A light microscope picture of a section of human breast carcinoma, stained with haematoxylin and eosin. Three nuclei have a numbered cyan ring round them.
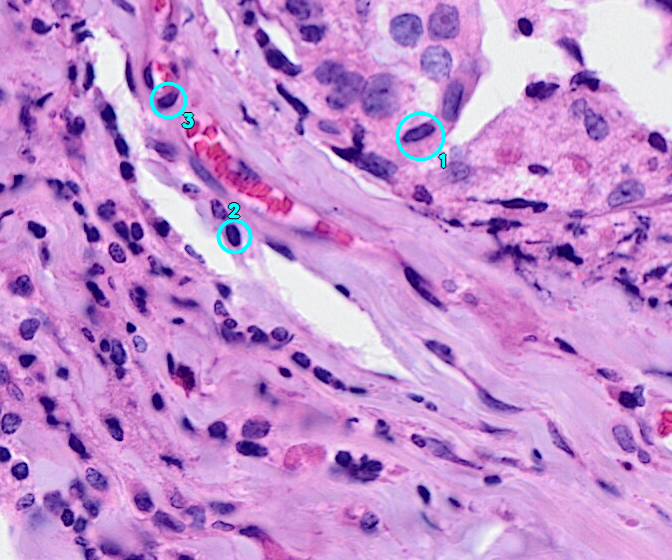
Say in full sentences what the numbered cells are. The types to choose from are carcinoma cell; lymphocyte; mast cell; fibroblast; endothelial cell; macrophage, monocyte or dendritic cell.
Cell 1 is a carcinoma cell, cell 2 is a lymphocyte and cell 3 is an endothelial cell.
